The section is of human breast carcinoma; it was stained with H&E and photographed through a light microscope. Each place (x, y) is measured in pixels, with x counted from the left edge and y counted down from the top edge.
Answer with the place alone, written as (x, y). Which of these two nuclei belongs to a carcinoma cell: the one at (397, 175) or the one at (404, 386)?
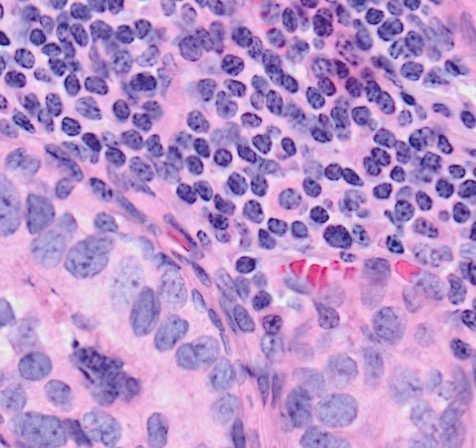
(404, 386)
